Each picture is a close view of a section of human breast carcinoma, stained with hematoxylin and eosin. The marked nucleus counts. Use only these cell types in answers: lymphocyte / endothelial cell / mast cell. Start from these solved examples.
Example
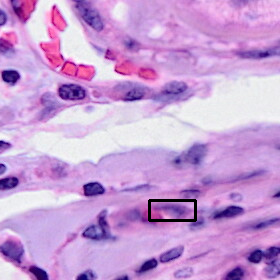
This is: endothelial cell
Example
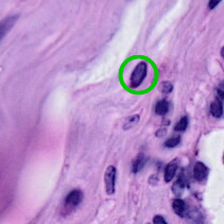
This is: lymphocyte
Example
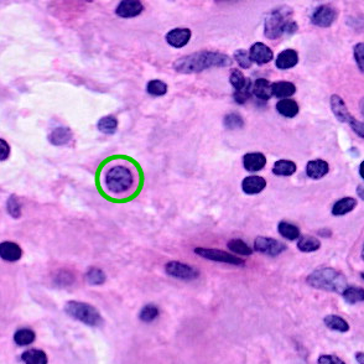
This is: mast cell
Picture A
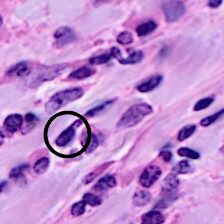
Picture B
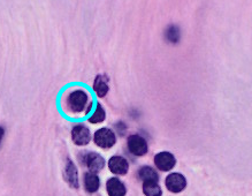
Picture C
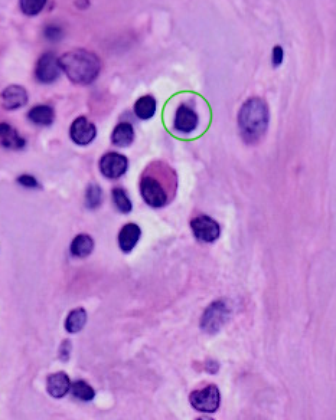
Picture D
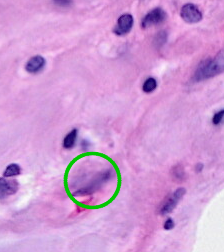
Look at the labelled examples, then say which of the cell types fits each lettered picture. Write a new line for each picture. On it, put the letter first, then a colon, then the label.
A: lymphocyte
B: lymphocyte
C: lymphocyte
D: endothelial cell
